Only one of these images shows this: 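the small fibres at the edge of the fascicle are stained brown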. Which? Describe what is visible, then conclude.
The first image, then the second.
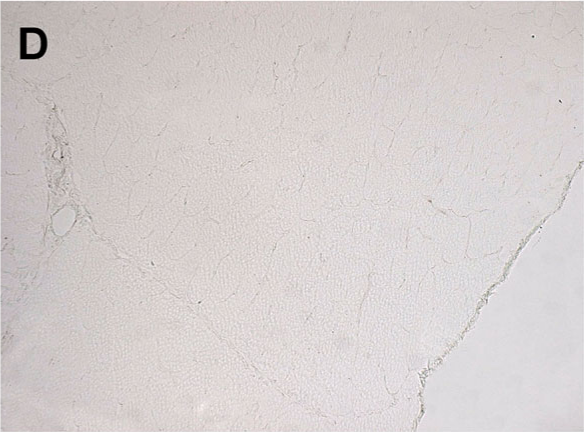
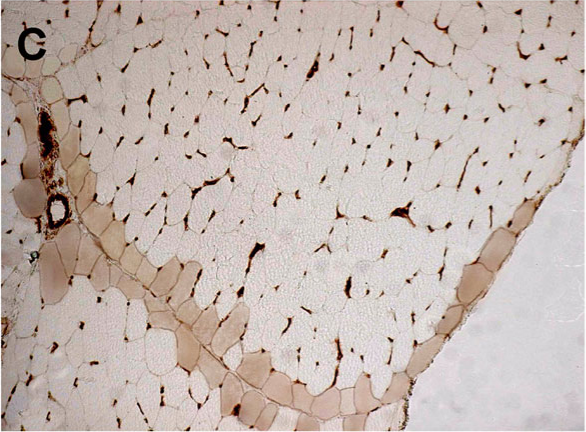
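First image: the fascicle and its border are pale with no brown staining. That points to this answer: the second image.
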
